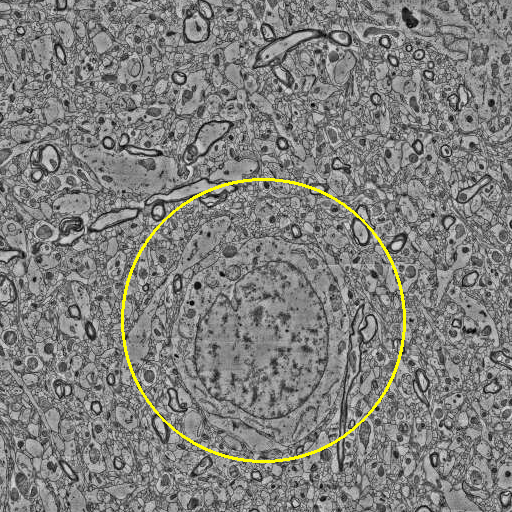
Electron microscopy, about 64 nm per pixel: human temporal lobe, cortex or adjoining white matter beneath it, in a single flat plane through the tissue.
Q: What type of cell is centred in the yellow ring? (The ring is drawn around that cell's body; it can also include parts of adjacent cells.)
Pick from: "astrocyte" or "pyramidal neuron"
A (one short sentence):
The yellow ring is centred on a pyramidal neuron.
